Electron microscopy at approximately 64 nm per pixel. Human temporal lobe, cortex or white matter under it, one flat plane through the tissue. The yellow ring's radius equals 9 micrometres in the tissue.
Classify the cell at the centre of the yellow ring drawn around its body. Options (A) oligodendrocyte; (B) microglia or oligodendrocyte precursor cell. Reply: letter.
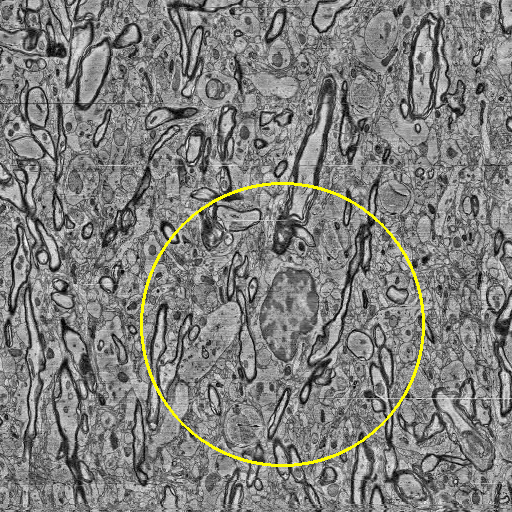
B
